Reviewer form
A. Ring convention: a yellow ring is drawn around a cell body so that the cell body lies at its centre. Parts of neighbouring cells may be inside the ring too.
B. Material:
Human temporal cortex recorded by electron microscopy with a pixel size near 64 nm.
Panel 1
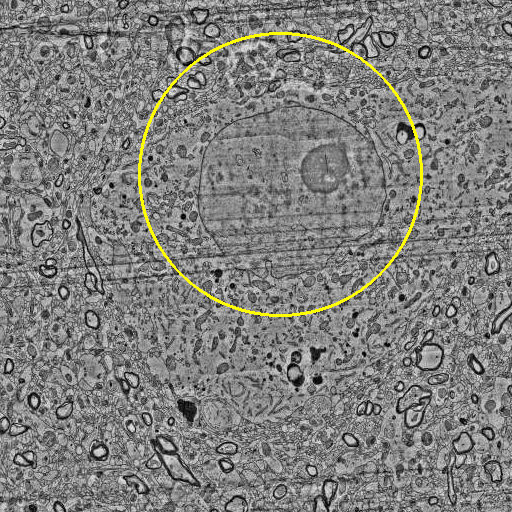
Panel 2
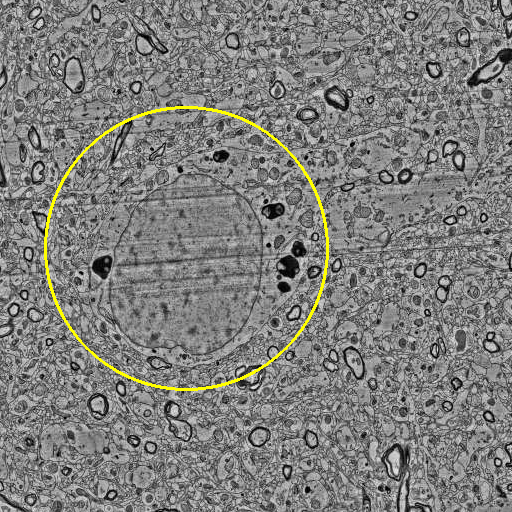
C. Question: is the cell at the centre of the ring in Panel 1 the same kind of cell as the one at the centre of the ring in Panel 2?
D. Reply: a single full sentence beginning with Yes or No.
Yes, the cells in Panel 1 and Panel 2 are the same kind of cell.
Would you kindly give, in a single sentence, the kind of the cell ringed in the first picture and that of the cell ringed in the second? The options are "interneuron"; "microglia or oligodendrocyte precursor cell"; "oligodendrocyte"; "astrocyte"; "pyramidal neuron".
Each cell, in the first picture and the second, is a pyramidal neuron.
